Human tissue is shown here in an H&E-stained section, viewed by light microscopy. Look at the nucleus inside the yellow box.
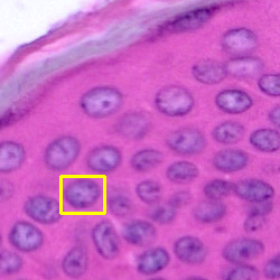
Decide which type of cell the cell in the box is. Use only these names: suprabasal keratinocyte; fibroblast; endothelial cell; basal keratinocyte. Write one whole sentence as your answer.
Students should answer that the cell in the box is a suprabasal keratinocyte.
